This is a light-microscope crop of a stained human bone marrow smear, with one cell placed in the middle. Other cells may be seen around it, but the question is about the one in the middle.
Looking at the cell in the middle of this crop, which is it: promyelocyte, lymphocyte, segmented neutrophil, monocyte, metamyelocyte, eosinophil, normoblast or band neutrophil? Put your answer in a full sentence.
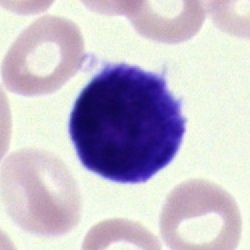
Looking at the middle of the crop, the cell there is a lymphocyte.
